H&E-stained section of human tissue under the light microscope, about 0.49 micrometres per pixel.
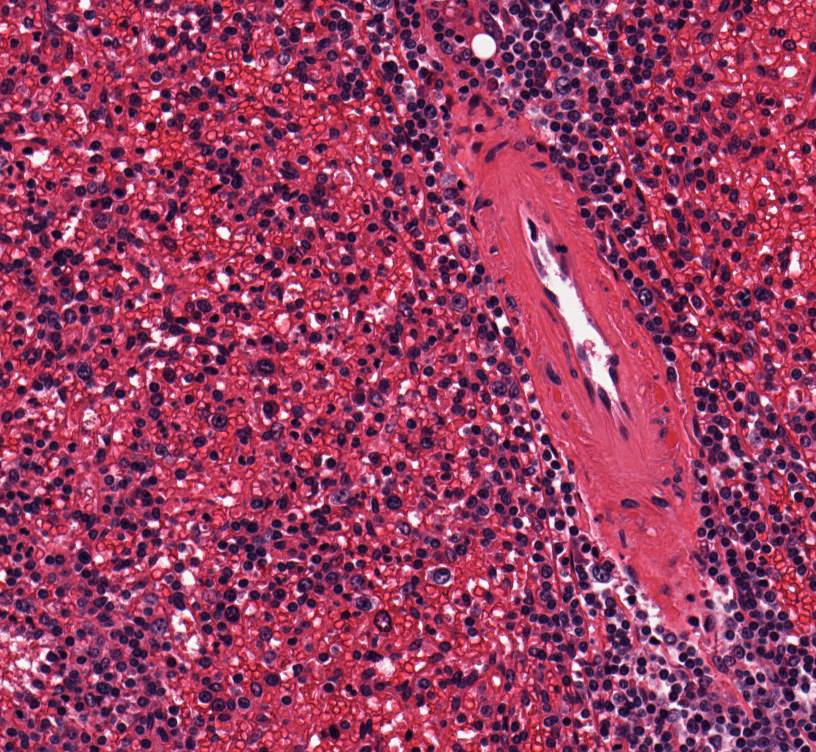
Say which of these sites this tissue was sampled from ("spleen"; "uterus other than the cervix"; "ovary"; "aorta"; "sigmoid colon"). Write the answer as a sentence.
The site this tissue was sampled from is the spleen.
